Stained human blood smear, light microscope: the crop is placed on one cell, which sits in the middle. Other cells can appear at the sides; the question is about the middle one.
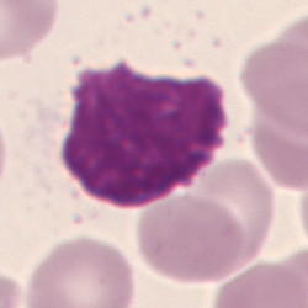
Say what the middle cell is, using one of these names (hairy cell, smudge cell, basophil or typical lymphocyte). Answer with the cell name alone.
smudge cell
